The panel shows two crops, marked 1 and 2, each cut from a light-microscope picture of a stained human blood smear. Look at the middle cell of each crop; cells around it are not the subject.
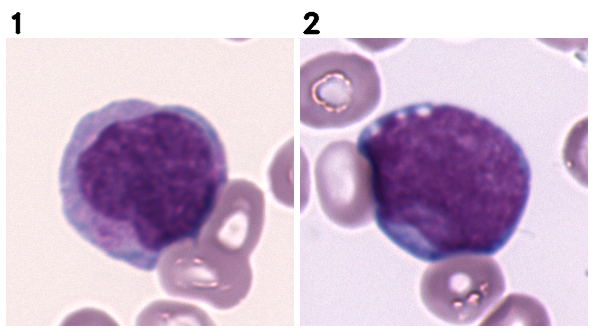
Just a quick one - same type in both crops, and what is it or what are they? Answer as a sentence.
No, in crop 1 the cell is an atypical promyelocyte, and in crop 2 it is a myeloblast.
